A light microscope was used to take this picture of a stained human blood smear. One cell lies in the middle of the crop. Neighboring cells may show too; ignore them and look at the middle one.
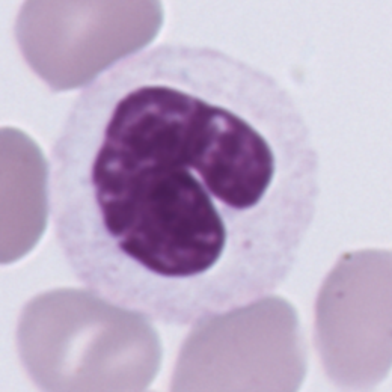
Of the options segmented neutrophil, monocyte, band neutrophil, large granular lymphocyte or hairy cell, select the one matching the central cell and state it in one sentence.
In short, the cell at the center is a band neutrophil.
